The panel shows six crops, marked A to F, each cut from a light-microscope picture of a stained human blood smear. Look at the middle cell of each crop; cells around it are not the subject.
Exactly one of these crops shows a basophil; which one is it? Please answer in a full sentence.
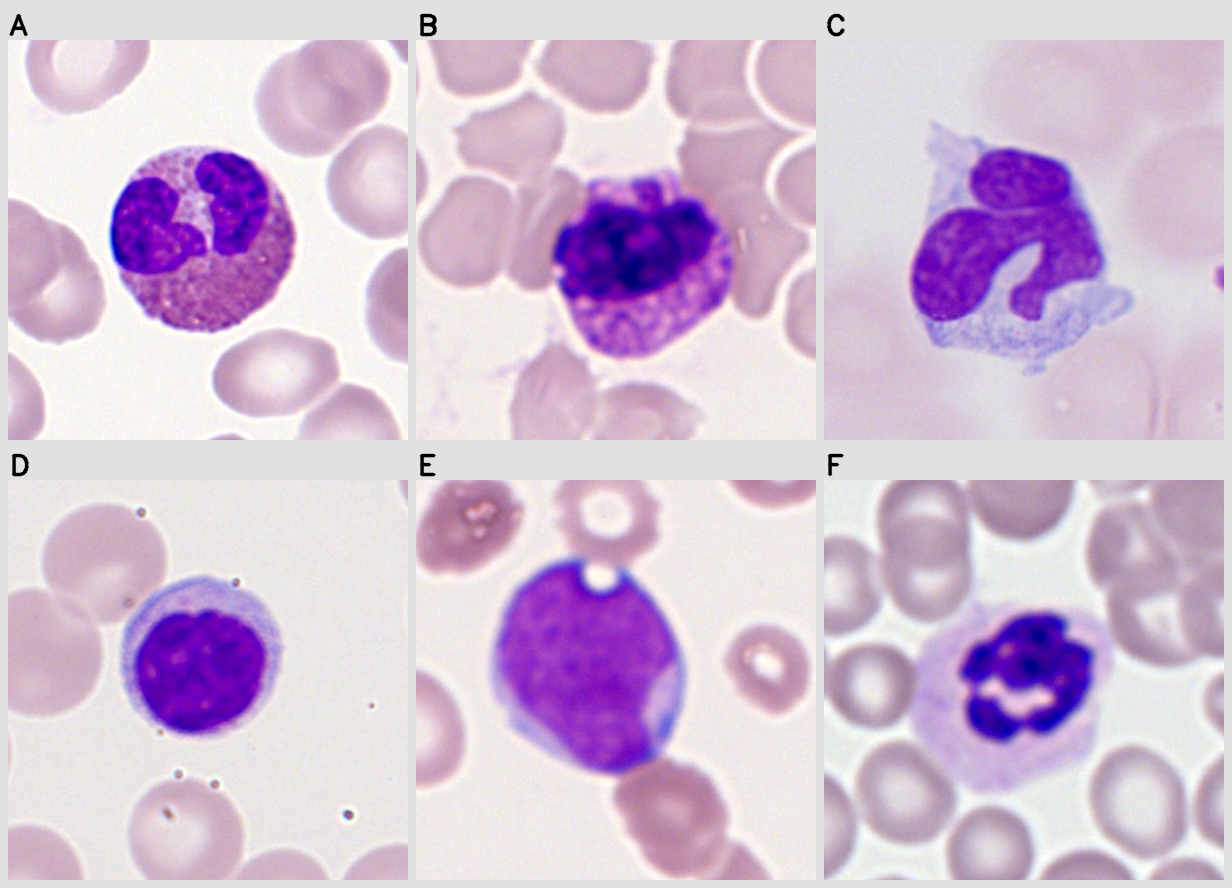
When the crops are compared, crop B is the one showing a basophil.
